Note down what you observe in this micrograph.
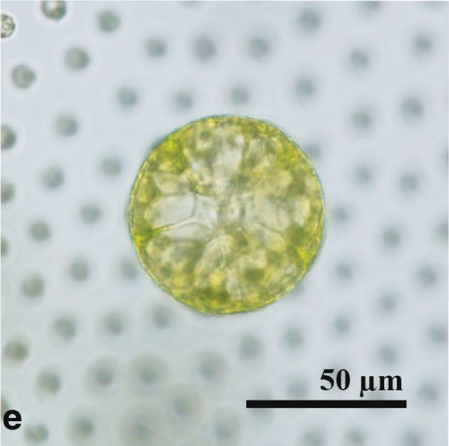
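A single gonidium of a green colonial alga, seen in optical section within the colony. It is a large spherical cell with a smooth, sharply defined outline, many times the diameter of the small somatic cells that surround it. Its cytoplasm is green and granular, with paler, irregular areas toward the centre. Around it, the small somatic cells lie in a regular, evenly spaced lattice, each appearing as a small grey round dot separated from its neighbours by clear gelatinous matrix. The gonidium is undivided and sits alone among these much smaller cells.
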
